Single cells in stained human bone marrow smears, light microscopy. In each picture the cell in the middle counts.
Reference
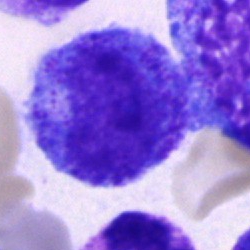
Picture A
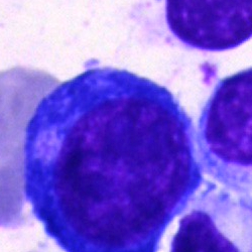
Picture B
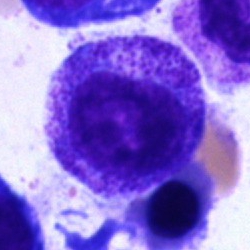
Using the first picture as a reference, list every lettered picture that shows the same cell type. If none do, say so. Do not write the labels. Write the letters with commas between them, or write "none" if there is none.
B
